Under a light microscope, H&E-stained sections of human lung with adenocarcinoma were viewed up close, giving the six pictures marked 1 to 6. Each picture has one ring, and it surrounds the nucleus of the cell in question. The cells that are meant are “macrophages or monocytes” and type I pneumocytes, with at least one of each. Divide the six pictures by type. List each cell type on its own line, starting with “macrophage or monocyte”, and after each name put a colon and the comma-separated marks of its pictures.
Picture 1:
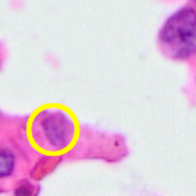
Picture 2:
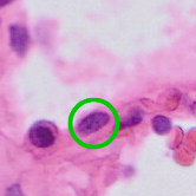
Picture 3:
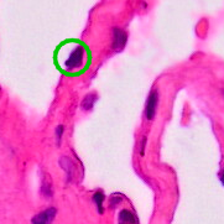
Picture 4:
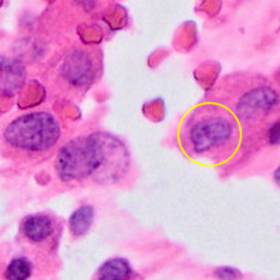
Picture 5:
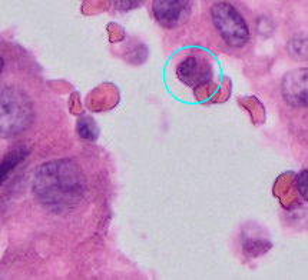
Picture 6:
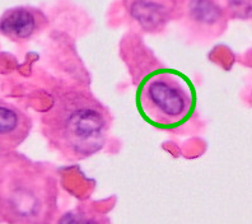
macrophage or monocyte: 1, 4, 5, 6
type I pneumocyte: 2, 3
